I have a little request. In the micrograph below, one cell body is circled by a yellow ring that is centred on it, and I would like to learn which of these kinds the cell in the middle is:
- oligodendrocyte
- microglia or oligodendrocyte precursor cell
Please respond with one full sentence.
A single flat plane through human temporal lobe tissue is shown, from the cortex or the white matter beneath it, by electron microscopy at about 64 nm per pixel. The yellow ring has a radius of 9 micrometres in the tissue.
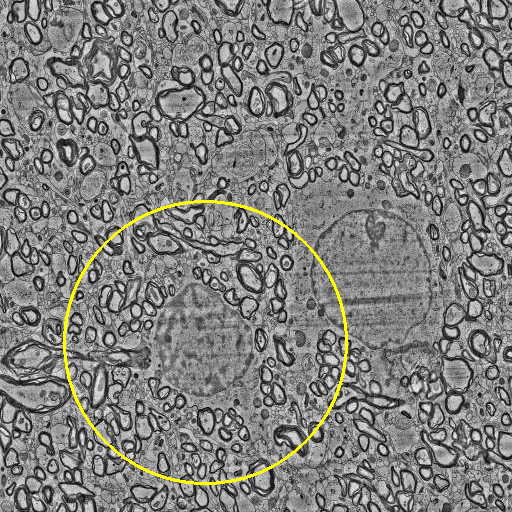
The cell sitting in the middle of the yellow ring in the micrograph is an oligodendrocyte.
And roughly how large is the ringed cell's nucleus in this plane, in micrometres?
The nucleus comes to roughly 7 micrometres across in this plane.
